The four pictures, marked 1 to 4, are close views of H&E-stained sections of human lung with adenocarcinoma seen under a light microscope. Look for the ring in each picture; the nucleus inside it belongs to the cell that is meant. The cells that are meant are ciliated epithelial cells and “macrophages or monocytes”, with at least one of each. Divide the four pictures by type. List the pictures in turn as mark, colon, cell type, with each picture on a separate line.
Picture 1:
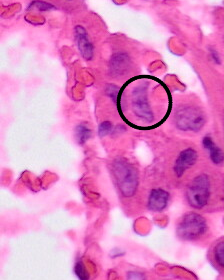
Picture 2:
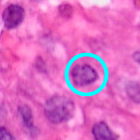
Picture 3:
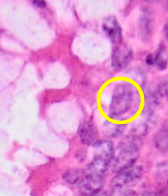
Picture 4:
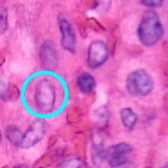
1: macrophage or monocyte
2: macrophage or monocyte
3: ciliated epithelial cell
4: macrophage or monocyte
